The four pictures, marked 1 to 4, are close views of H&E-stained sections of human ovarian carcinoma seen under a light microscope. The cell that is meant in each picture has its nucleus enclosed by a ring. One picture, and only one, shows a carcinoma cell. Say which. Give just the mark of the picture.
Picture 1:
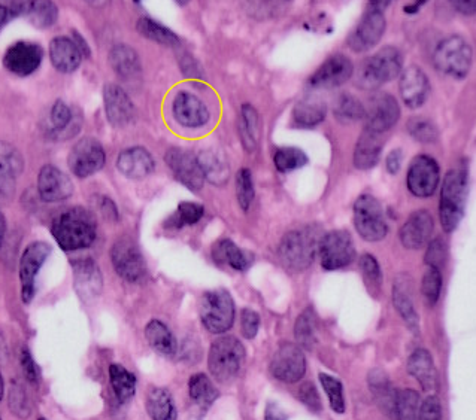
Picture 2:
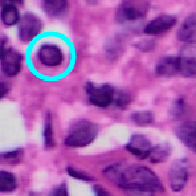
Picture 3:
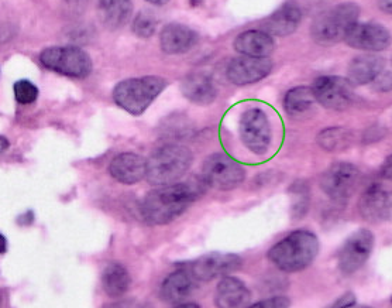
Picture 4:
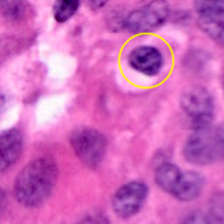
2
